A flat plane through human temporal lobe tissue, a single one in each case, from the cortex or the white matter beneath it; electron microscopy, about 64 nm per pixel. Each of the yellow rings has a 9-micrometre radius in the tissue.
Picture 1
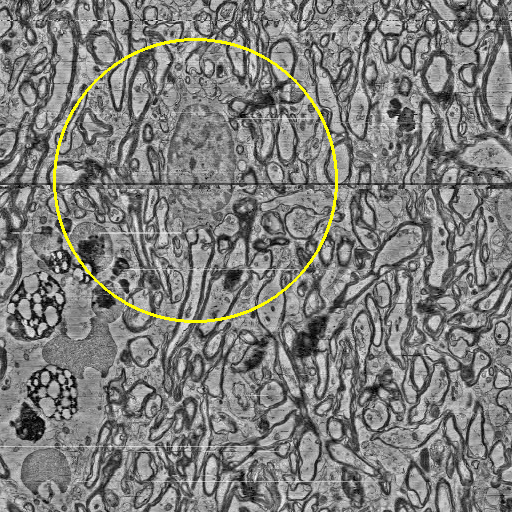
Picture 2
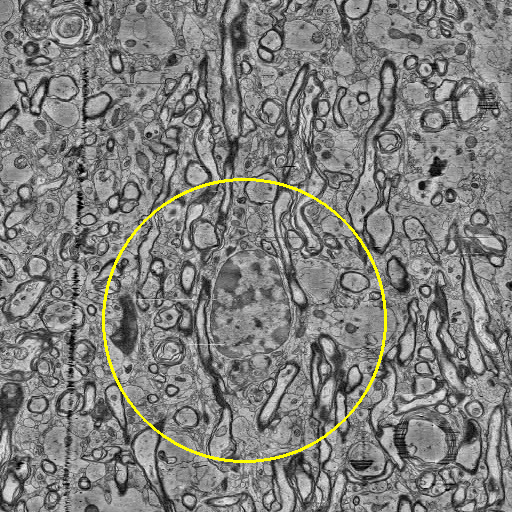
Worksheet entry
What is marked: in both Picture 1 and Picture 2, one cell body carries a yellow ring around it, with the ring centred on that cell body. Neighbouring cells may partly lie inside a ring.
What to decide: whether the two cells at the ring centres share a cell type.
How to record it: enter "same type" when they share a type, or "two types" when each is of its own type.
two types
